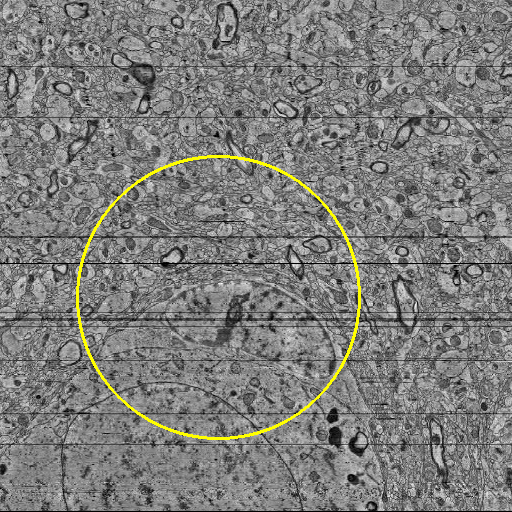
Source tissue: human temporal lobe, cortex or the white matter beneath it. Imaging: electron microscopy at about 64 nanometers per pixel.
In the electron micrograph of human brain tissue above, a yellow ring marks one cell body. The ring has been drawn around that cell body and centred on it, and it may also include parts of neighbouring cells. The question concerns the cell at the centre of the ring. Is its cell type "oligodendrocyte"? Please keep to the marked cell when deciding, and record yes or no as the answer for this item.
no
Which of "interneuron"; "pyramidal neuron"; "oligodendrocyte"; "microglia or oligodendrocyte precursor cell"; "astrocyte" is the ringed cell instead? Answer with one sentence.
What the ring is centred on is a microglial cell or oligodendrocyte precursor cell.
